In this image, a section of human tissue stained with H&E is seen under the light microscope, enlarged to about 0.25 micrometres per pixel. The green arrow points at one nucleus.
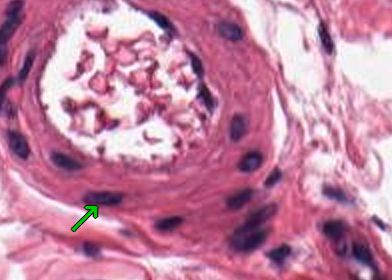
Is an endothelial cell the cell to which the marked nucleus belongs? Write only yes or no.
no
